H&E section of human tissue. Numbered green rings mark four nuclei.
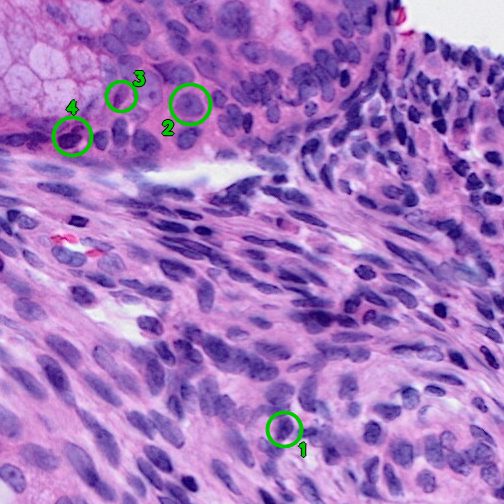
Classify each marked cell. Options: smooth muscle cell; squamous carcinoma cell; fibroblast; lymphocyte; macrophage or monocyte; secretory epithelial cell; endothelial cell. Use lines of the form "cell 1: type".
cell 1: lymphocyte
cell 2: secretory epithelial cell
cell 3: secretory epithelial cell
cell 4: secretory epithelial cell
